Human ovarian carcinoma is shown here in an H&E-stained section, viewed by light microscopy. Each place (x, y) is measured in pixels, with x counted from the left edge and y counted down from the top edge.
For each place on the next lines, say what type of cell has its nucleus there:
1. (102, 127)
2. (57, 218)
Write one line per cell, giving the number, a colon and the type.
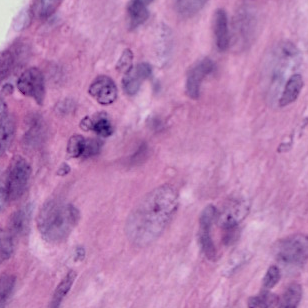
1: lymphocyte
2: fibroblast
